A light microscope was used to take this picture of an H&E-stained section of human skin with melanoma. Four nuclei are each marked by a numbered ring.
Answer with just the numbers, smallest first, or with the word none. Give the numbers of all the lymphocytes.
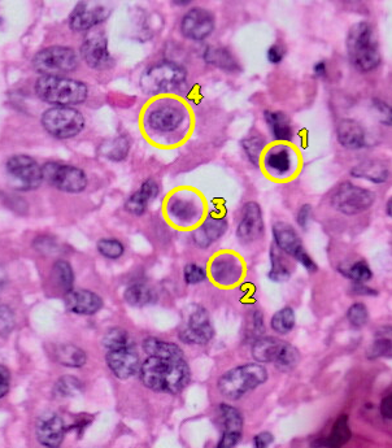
1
